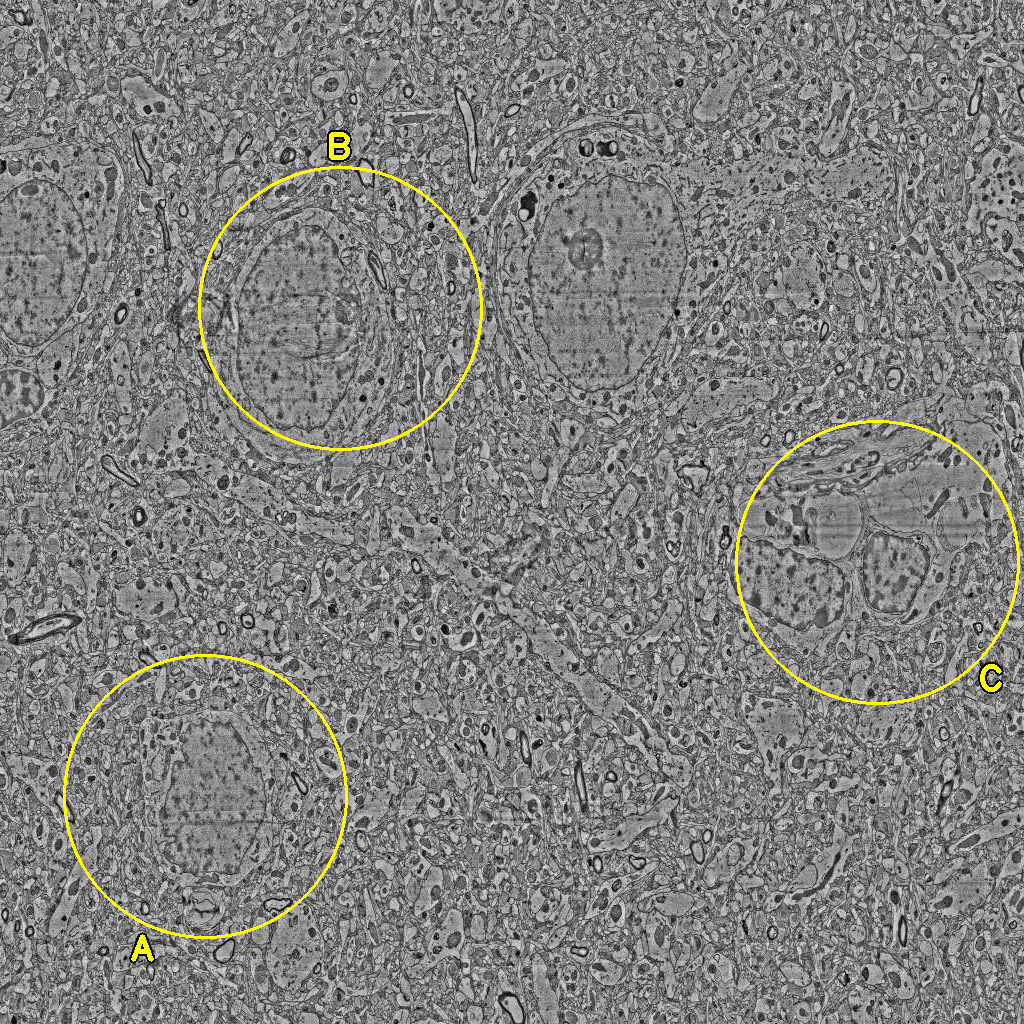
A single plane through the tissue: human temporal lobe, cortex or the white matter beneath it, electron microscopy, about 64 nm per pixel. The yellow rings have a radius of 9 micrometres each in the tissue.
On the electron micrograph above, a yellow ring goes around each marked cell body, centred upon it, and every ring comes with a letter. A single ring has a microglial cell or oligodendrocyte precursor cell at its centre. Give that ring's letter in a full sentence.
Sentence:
The ring holding the cell asked for at its centre bears the letter C.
